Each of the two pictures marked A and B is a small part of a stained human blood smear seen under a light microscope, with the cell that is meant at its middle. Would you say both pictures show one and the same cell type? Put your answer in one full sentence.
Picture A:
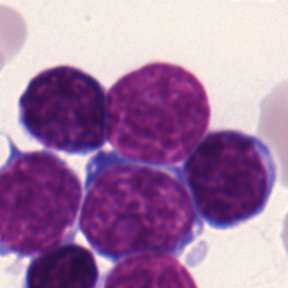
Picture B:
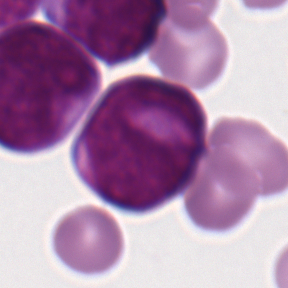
Yes, both cells are myeloblasts.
